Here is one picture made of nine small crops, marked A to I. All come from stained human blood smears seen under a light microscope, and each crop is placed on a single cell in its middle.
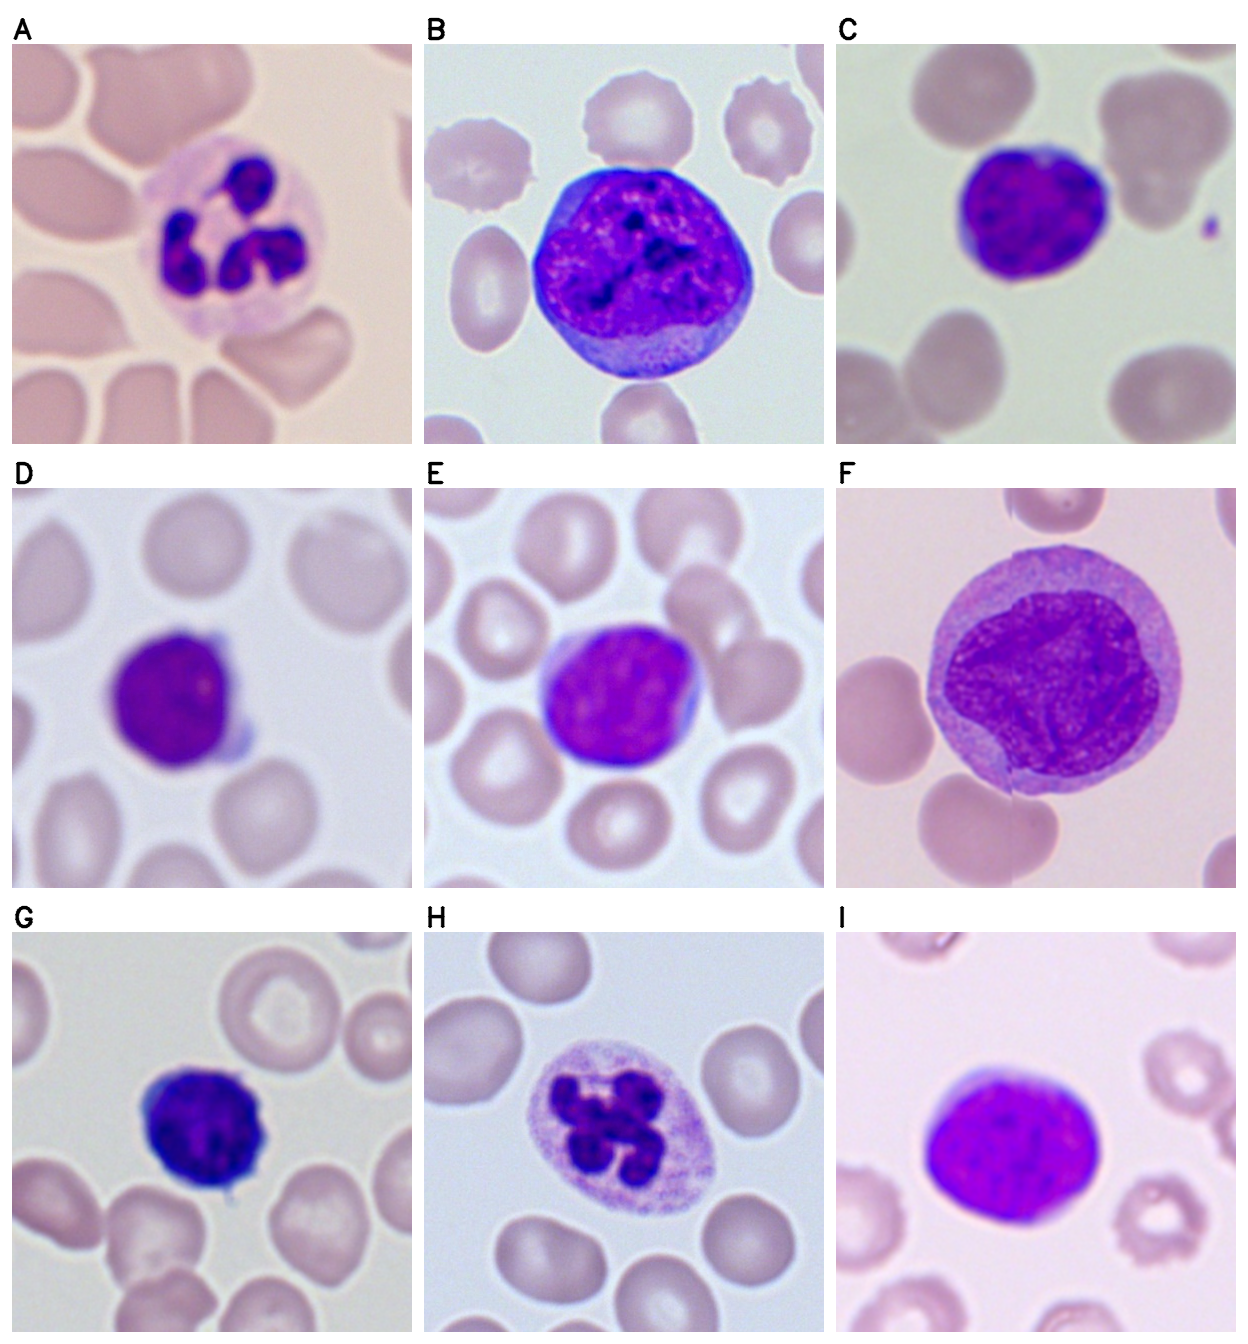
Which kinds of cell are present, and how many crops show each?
lymphocyte: 4
blast: 3
neutrophil: 2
